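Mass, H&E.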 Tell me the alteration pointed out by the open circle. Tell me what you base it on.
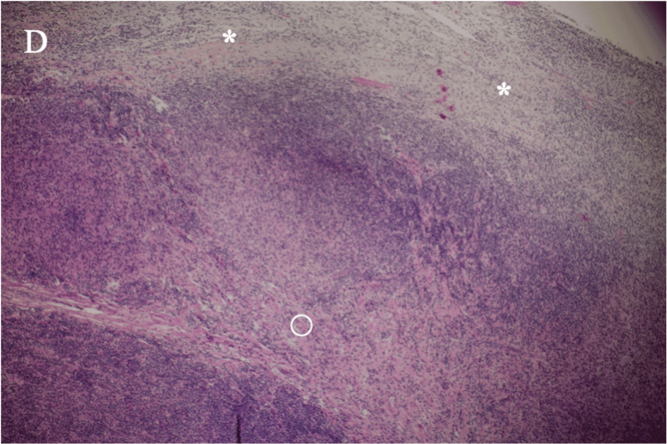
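The area at the circle is pinker and denser than the loose pale areas. Cells are sparser there than in the dark purple cellular areas.
Answer: sclerotic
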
